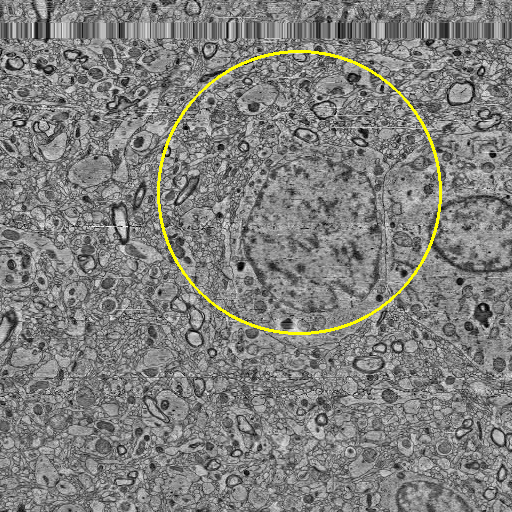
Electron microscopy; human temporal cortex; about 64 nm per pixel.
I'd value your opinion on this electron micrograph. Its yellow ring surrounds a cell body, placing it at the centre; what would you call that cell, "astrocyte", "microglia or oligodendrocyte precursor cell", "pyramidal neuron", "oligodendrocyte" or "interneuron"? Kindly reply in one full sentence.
It is an interneuron that sits centred within the yellow ring in this micrograph.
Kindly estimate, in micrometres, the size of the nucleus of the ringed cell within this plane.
The nucleus has a long axis of about 10 micrometres and a short axis of about 9 micrometres in this plane.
